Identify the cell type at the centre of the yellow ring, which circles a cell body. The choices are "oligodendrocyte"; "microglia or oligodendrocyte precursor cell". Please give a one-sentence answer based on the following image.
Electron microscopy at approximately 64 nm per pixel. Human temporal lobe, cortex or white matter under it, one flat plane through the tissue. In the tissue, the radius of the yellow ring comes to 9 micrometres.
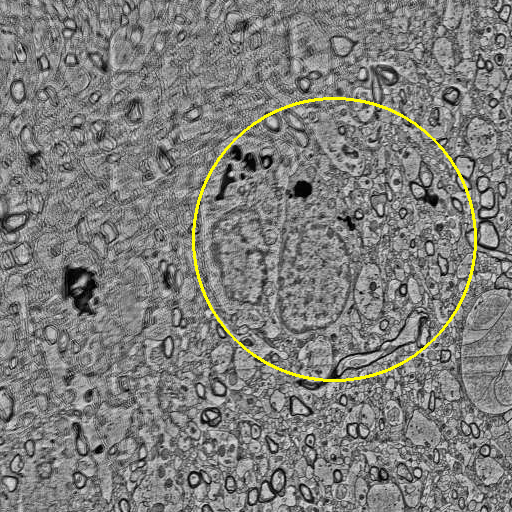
The cell marked by the ring is an oligodendrocyte.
